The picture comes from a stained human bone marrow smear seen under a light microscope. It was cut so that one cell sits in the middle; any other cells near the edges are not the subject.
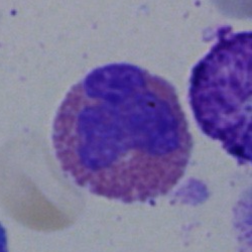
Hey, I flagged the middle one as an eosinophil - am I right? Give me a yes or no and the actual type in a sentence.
Yes, it is an eosinophil that occupies the centre of the crop.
